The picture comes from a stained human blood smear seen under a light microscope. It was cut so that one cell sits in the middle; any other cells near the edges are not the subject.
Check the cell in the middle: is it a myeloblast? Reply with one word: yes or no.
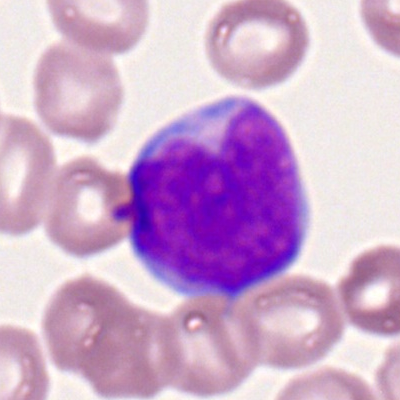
yes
